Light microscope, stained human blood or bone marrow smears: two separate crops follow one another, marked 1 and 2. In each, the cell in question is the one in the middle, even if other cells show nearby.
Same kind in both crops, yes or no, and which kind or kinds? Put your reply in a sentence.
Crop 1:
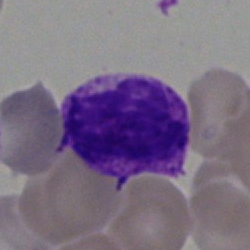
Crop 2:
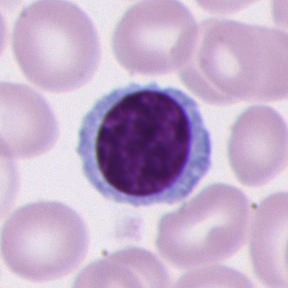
No, the middle of crop 1 shows a basophil, and the middle of crop 2 shows a lymphocyte.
